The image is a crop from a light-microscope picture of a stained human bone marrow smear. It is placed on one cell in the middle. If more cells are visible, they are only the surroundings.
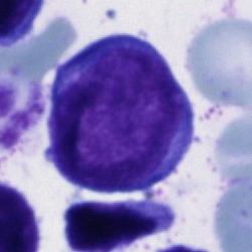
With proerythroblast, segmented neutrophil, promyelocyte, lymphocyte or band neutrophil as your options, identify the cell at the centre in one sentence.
At the crop's centre, the cell is a proerythroblast.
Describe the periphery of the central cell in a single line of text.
Edge check done: smooth outline, no projections present.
